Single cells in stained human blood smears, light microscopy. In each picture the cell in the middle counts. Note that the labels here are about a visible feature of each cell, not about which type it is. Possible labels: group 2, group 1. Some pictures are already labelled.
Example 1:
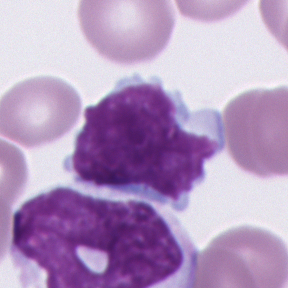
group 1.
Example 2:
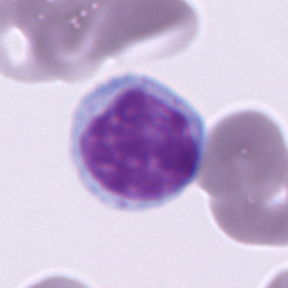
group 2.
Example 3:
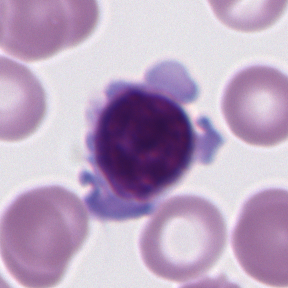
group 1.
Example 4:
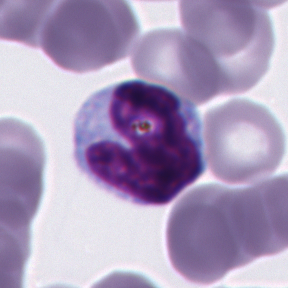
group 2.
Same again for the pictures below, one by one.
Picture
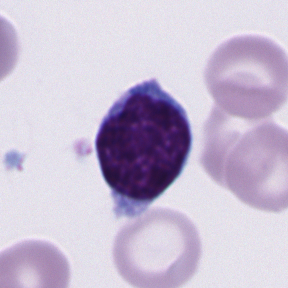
group 1.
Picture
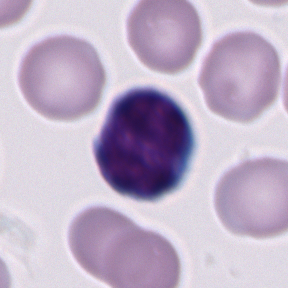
group 2.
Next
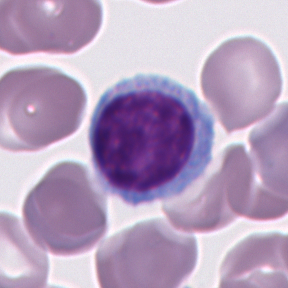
group 1.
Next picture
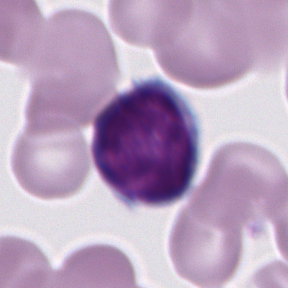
group 1.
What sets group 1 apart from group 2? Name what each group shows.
group 1, ragged outline or projections; group 2, smooth outline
